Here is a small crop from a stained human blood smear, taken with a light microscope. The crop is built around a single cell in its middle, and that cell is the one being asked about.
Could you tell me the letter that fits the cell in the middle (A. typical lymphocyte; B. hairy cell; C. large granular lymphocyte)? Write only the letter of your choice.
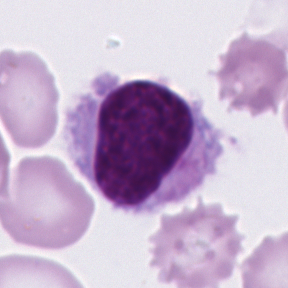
B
